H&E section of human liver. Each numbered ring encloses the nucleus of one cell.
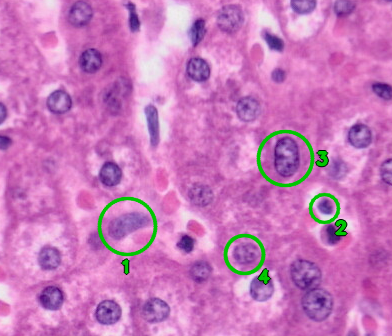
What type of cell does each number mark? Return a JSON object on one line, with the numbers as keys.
{"1": "Kupffer cell", "2": "lymphocyte", "3": "hepatocyte", "4": "hepatocyte"}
